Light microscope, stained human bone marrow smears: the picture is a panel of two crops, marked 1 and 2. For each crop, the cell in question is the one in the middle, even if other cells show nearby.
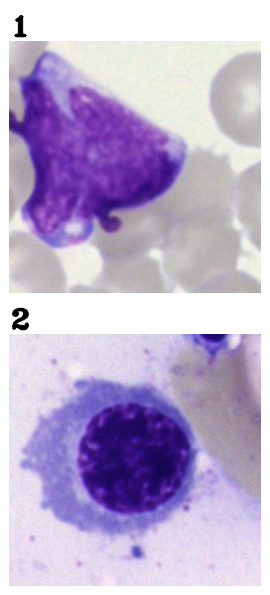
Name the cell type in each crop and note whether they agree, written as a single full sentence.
No, crop 1 captures a blast, and crop 2 captures an erythroblast.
